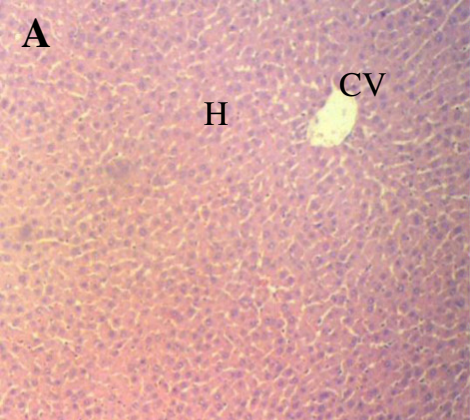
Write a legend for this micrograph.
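This is liver tissue made of sheets of hepatocytes around a central vein. The field is filled with pink polygonal cells, each with a small round dark nucleus, lined up in cords that run toward a clear pale lumen near the top. Between the cords run narrow pale slits, the sinusoids. The cytoplasm is evenly pink, without clear holes, and the cords keep an orderly arrangement across the field. Nothing here looks broken, vacuolated or crowded with small dark cells, so the lobule appears to keep its ordinary architecture around the vein.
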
